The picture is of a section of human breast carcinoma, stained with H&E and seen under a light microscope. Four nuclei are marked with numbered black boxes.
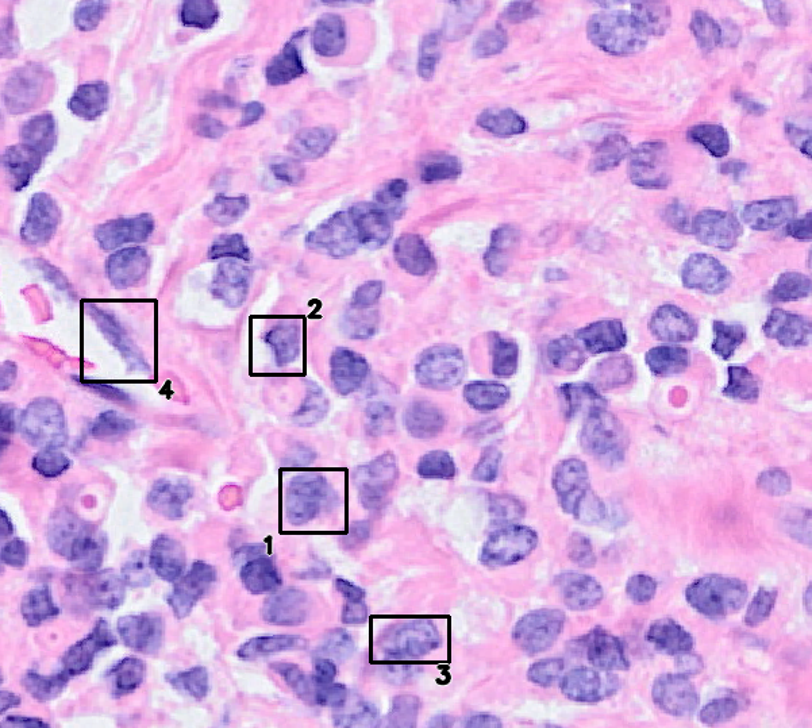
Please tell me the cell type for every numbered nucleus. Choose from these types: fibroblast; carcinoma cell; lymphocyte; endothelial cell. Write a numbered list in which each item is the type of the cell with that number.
1. carcinoma cell
2. carcinoma cell
3. carcinoma cell
4. endothelial cell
